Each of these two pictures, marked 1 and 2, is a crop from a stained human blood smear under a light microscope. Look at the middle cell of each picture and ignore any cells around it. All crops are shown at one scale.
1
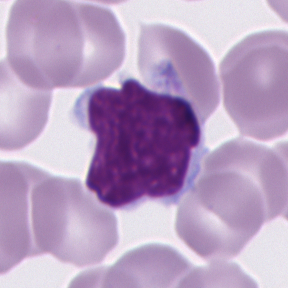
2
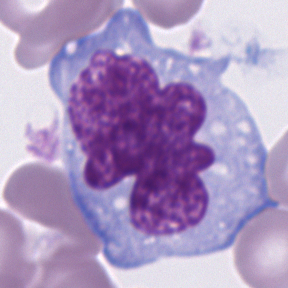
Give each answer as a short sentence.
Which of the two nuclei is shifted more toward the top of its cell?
The nucleus in picture 2 lies further toward the top of its cell.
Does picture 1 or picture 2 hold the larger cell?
Larger is the cell in picture 2, at roughly 2 times the area of the other.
